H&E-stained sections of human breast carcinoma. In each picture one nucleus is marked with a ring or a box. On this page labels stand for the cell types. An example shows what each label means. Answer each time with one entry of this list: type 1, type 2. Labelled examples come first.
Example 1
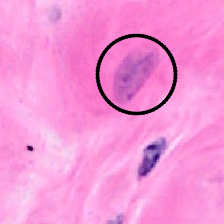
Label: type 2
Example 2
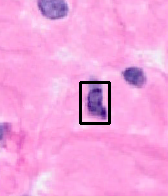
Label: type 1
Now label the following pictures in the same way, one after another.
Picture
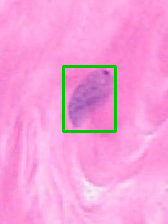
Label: type 2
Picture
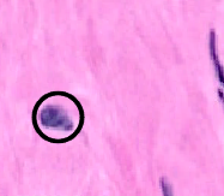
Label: type 1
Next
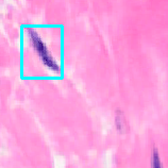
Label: type 2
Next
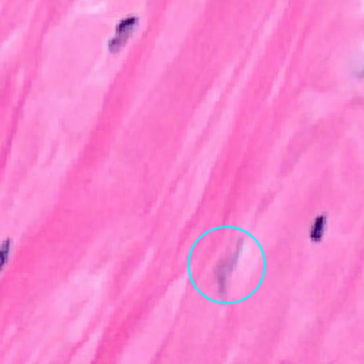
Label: type 2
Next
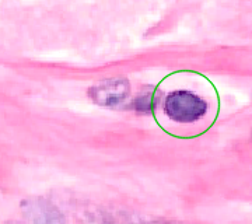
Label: type 1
